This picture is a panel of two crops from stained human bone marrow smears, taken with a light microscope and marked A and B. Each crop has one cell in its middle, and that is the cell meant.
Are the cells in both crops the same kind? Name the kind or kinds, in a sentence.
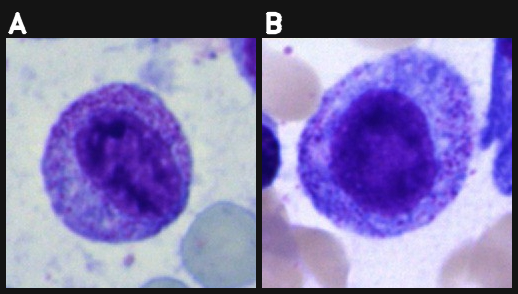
Yes, for both crops, the central cells are promyelocytes.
